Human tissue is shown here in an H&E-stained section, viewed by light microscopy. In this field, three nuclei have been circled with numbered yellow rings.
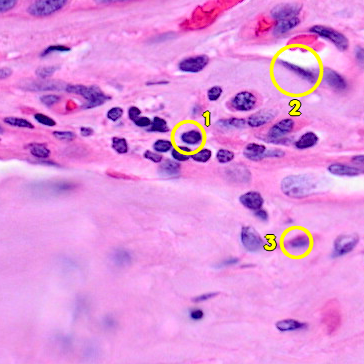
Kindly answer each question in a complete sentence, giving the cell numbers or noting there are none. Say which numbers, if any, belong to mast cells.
Cell 3 is a mast cell, and it is the only numbered cell that is.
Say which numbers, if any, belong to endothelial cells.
Among the numbered cells, cell 2 alone is an endothelial cell.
